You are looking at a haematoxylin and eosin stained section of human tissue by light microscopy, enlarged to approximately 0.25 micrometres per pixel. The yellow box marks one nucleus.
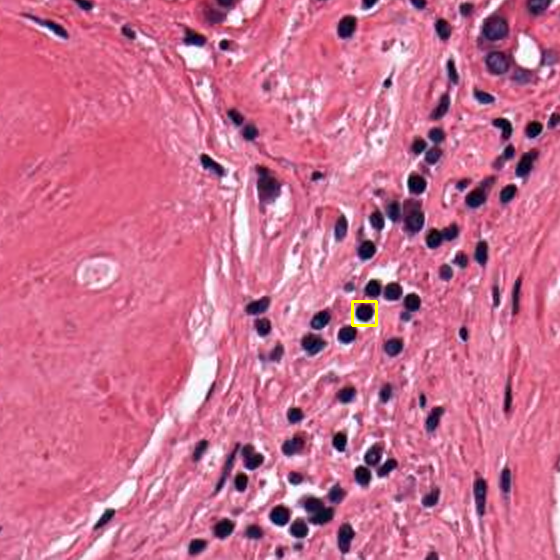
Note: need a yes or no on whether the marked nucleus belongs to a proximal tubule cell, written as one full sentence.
No, a supporting cell rather than a proximal tubule cell is the cell of the marked nucleus.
